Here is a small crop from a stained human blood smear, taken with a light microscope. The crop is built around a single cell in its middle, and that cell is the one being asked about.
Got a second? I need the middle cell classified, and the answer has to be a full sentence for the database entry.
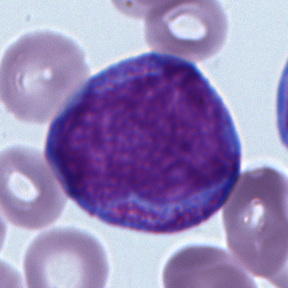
Answering briefly, the cell in the middle is a promyelocyte.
